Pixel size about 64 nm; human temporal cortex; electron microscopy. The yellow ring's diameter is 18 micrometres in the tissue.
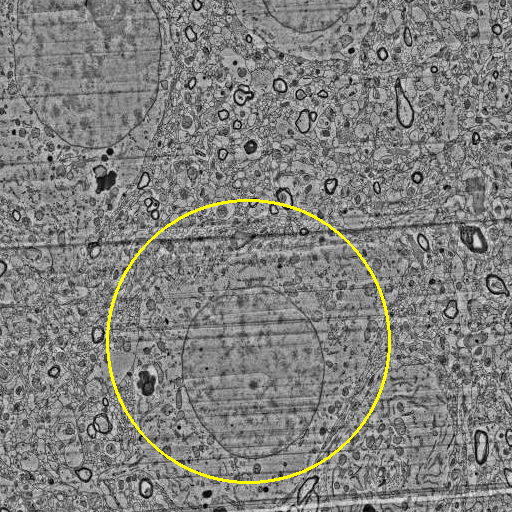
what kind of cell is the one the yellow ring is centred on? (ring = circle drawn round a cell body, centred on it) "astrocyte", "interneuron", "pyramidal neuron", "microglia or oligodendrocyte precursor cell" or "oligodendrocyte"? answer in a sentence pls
The ring is drawn around a pyramidal neuron.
